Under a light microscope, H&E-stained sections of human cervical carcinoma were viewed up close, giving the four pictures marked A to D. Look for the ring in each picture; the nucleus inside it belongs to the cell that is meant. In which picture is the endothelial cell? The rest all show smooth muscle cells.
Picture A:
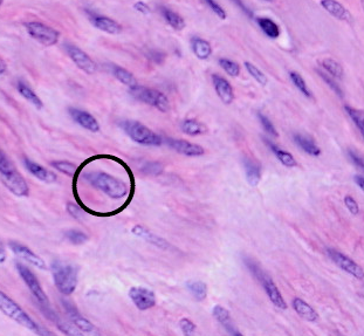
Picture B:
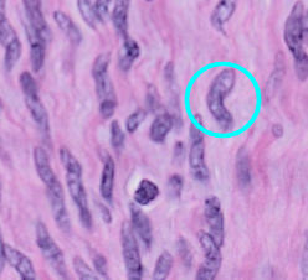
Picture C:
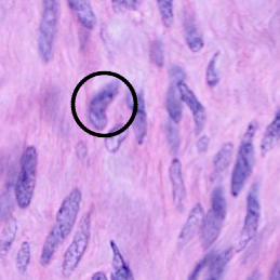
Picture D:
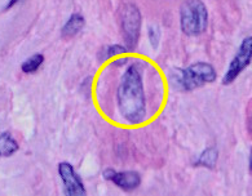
D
